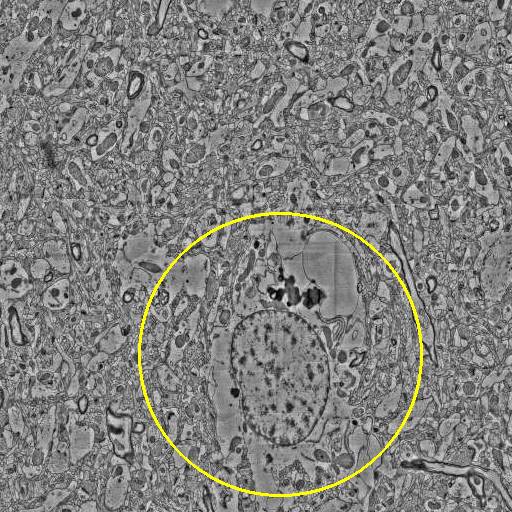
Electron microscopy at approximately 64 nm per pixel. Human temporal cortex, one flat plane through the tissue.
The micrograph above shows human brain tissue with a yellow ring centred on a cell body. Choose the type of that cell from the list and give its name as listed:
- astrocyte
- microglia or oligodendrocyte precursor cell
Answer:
astrocyte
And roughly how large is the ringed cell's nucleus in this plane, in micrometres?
In this plane the nucleus measures roughly 9 by 6 micrometers.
